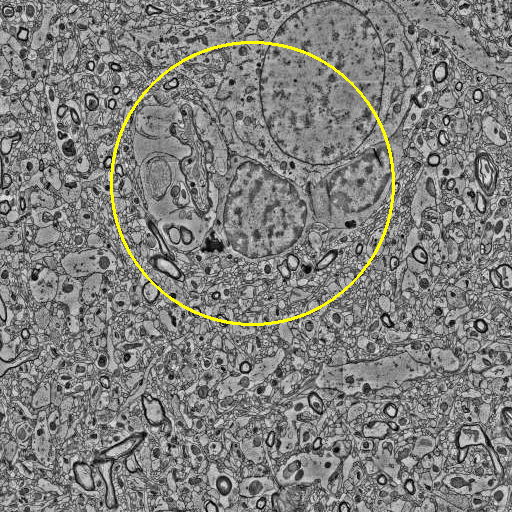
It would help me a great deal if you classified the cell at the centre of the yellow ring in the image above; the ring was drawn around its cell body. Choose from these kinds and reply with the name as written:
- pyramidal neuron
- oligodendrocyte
oligodendrocyte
